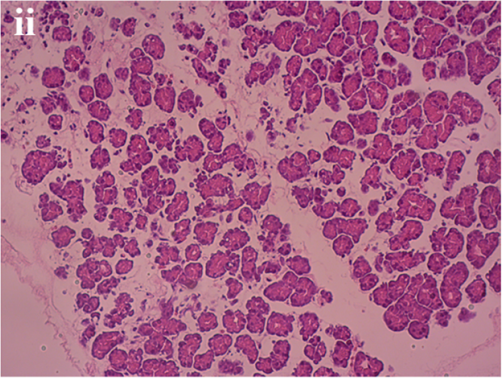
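This section of pancreas shows acinar tissue broken apart by edema. Instead of a compact sheet, the acini lie as small, separate purple-pink islands scattered through wide, pale pink, nearly cell-free spaces that separate lobules and individual acinar groups. The acinar cells still show dark purple nuclei and pink cytoplasm, but the clusters are irregular in outline and loosely spaced. Toward the edges, the pale material forms broad bands, and some fragments of tissue appear detached. Compared with normal pancreas, the overall architecture is loosened and the tissue looks swollen with fluid between its parts.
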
